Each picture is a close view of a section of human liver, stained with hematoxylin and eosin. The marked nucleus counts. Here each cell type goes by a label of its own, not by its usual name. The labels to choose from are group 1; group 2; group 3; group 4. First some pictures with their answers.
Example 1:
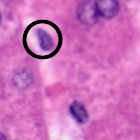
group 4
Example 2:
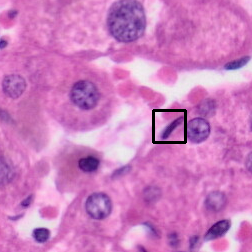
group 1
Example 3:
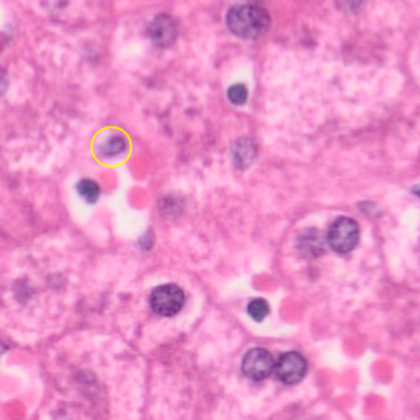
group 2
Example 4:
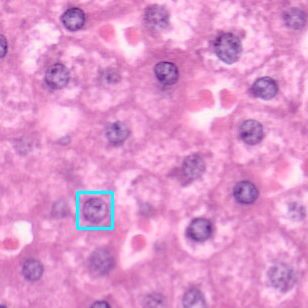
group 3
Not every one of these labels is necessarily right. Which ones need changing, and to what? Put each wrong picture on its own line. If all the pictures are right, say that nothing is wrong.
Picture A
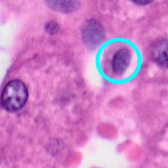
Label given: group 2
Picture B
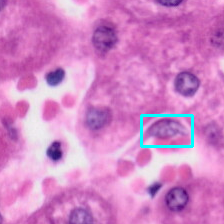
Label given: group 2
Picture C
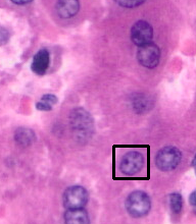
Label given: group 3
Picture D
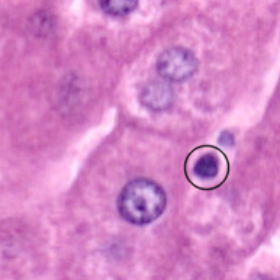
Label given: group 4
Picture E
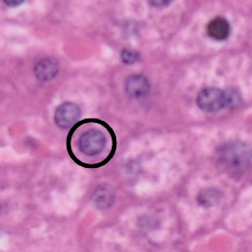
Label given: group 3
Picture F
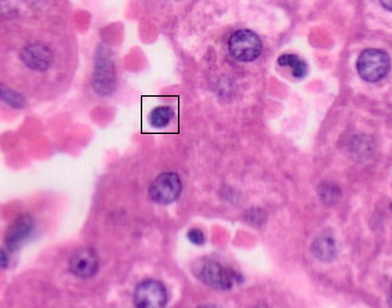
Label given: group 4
Every label is right.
